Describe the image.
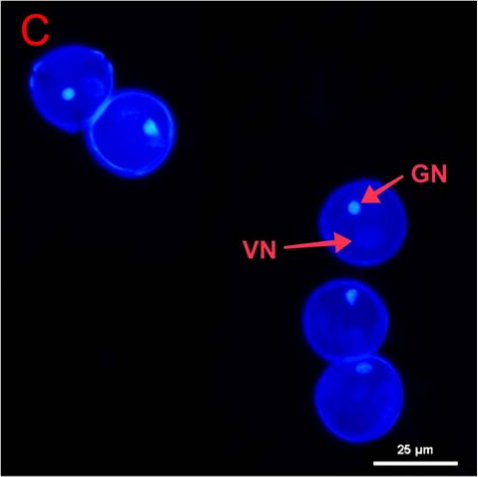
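Round pollen grains with a bright blue wall, several touching in pairs or a short chain. Each grain shows one small, compact, bright nucleus, while a second nucleus is faint and diffuse in the cytoplasm. The grains appear full and evenly rounded.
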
